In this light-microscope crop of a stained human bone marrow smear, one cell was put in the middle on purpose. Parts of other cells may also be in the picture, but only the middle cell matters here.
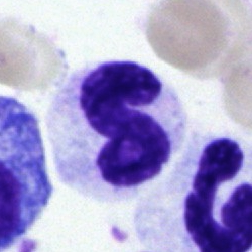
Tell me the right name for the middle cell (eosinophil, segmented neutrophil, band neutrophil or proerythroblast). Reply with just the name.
band neutrophil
